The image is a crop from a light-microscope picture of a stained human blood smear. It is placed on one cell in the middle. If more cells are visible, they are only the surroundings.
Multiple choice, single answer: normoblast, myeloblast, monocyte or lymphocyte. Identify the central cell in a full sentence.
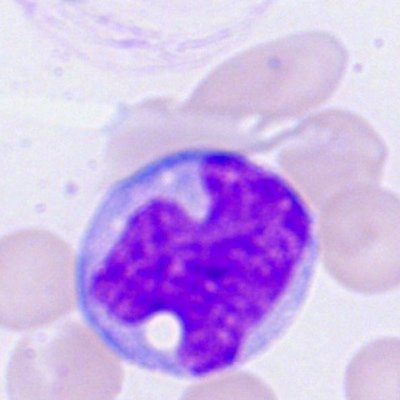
Centred in the crop is a monocyte.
